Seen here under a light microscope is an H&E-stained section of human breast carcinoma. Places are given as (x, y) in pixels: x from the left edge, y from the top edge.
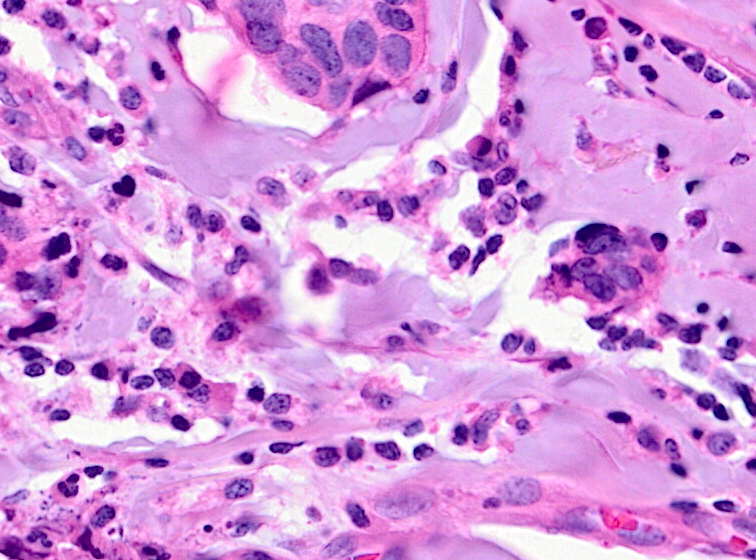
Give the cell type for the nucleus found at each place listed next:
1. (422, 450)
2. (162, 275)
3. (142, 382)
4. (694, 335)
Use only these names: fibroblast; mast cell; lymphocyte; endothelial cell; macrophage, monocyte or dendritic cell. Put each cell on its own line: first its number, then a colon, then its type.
1: lymphocyte
2: fibroblast
3: lymphocyte
4: lymphocyte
